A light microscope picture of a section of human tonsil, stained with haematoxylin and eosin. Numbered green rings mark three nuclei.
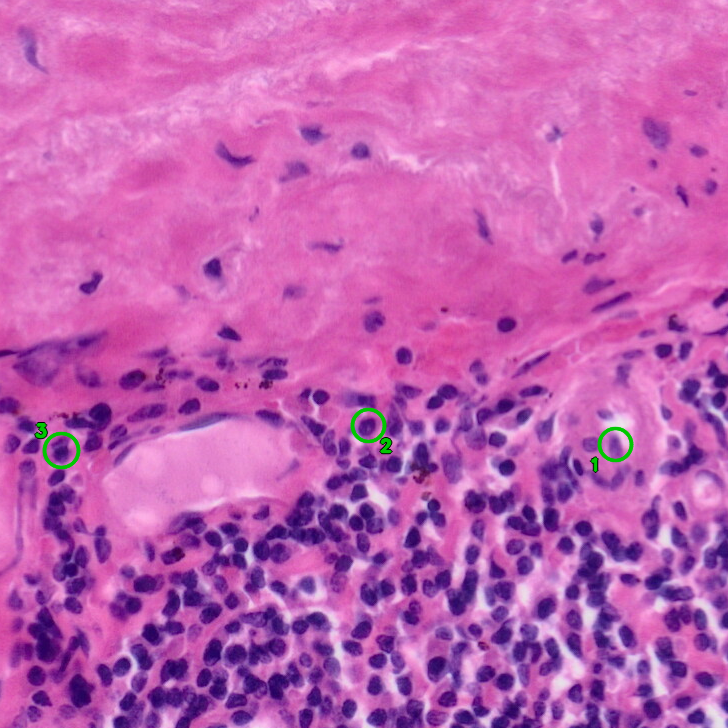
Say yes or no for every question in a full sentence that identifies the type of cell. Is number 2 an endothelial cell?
No, the cell bearing number 2 is not an endothelial cell but a plasma cell.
